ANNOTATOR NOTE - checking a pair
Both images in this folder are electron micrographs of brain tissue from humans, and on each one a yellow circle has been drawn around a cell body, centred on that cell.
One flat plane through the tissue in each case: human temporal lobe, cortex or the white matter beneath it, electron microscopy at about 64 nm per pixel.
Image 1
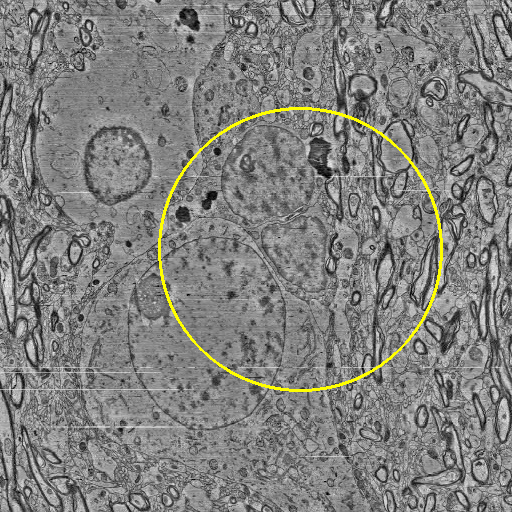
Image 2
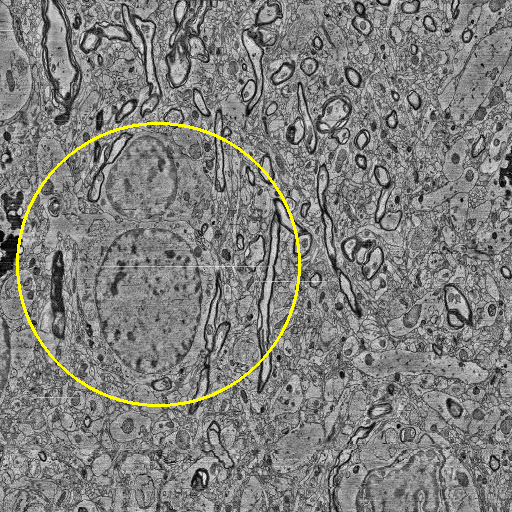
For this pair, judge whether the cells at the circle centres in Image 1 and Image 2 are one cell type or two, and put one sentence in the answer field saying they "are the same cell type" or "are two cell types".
For this pair, the cells at the circle centres in Images 1 and 2 are two cell types.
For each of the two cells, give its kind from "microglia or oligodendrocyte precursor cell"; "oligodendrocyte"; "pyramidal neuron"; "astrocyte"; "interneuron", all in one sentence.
The first picture has an oligodendrocyte in its ring, the second has an astrocyte.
